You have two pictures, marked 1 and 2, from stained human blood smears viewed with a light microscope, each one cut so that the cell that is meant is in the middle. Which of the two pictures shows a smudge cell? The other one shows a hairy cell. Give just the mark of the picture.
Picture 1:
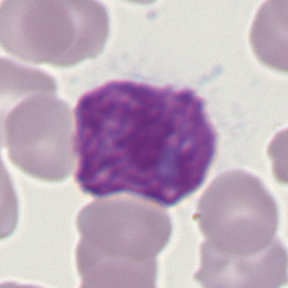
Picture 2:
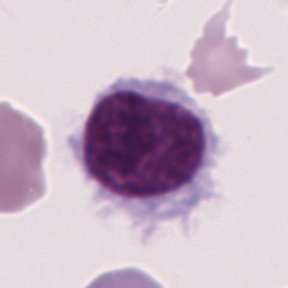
1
